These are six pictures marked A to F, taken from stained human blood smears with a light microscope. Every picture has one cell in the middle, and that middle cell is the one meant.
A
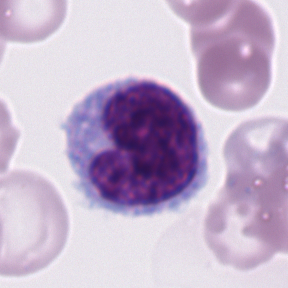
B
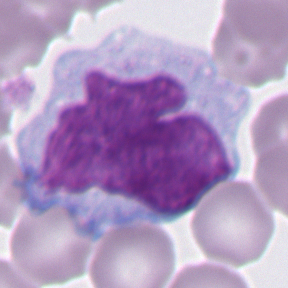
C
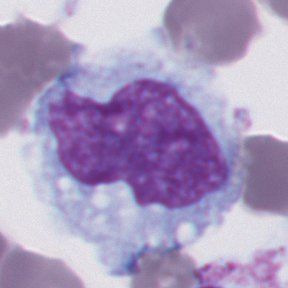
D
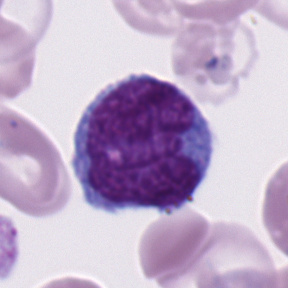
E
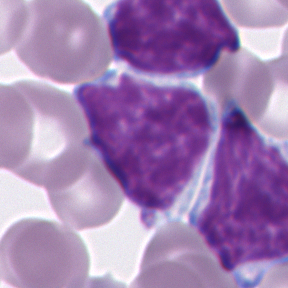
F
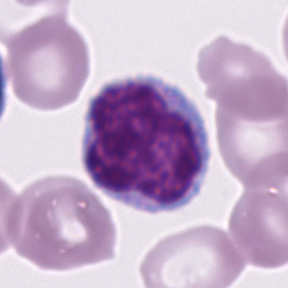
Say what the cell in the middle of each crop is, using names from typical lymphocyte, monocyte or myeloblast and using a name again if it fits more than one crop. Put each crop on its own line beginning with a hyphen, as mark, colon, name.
- A: monocyte
- B: monocyte
- C: monocyte
- D: monocyte
- E: typical lymphocyte
- F: typical lymphocyte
